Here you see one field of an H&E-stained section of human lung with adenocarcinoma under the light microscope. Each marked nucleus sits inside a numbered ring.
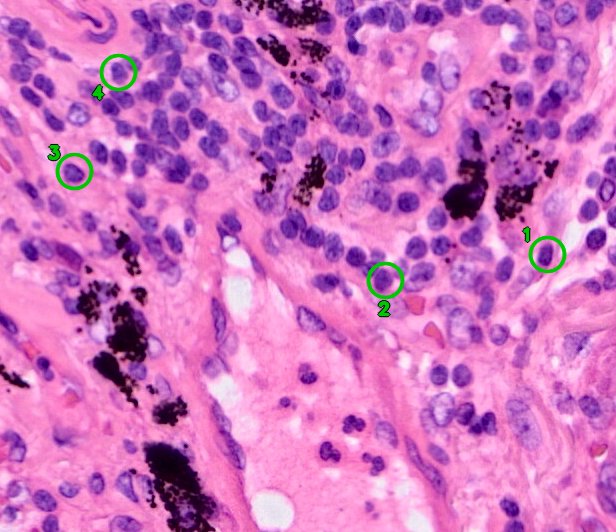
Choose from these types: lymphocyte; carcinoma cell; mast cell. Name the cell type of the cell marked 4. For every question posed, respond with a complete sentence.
In the marked set, the cell given number 4 is a lymphocyte.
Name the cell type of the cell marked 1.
Looking at the numbered marks, cell 1 is a lymphocyte.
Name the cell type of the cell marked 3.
The nucleus labelled 3 belongs to a mast cell.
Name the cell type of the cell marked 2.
The mark numbered 2 indicates the nucleus of a lymphocyte.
